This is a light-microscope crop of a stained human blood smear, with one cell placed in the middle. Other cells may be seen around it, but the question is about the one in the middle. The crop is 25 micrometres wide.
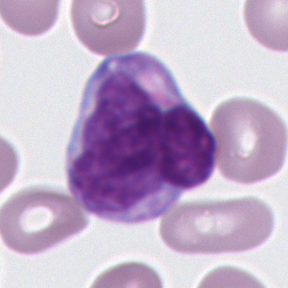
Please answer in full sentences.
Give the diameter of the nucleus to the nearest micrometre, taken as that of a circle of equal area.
About 11 micrometres: that is the diameter of the nucleus.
